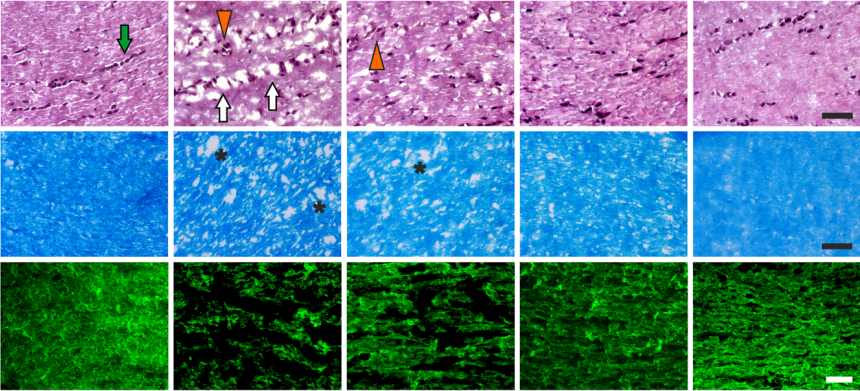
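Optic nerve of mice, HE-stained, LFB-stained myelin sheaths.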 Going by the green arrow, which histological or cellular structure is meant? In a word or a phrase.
Linear formation of nuclei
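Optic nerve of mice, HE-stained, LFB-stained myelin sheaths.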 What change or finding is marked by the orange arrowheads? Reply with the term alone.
Cellular conglomerates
